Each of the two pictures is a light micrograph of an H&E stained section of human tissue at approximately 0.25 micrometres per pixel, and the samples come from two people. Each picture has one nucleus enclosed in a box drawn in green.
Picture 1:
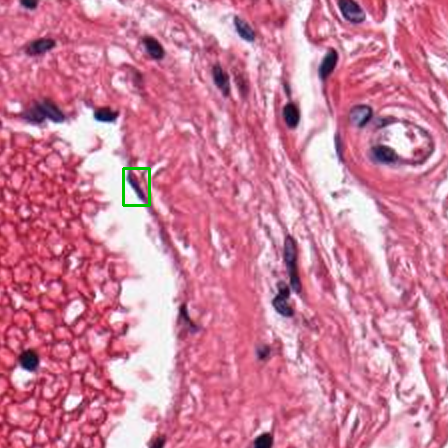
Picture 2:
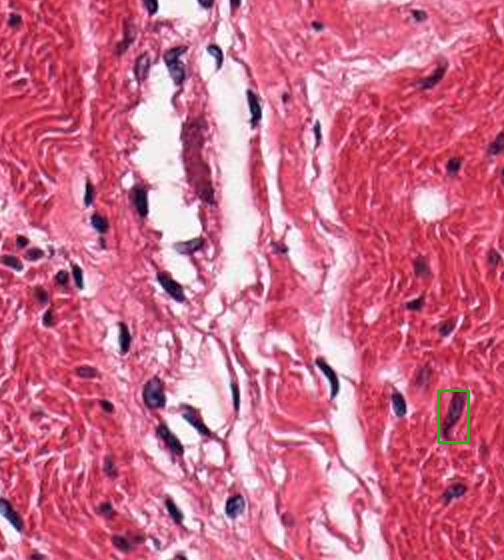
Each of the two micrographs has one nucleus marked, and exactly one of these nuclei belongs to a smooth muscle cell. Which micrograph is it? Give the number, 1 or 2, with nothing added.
2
